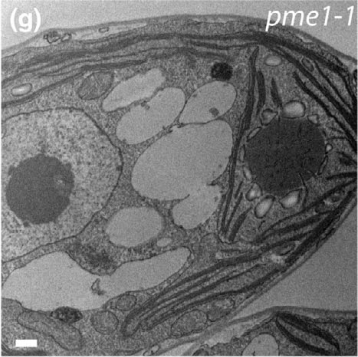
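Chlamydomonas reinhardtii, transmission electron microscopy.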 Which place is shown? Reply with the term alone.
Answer: At the base of the cup‐shaped chloroplast.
